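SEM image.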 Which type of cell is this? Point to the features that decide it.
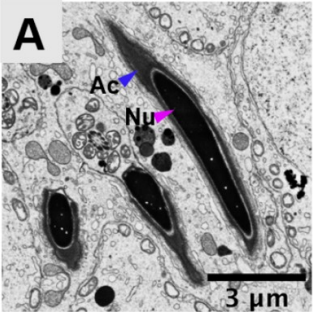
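Spermatid. Elongated, very electron-dense nuclei tapering to a point. A thin cap of material lies along the tip of the dense nucleus. Several such elongated dense profiles lie within surrounding cytoplasm.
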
